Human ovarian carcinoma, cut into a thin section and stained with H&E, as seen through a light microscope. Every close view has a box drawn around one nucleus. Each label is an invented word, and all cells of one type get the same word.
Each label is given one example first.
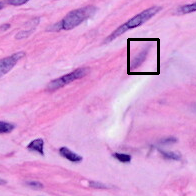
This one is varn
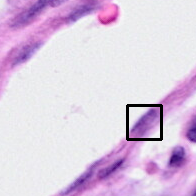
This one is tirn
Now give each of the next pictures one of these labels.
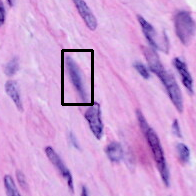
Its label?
varn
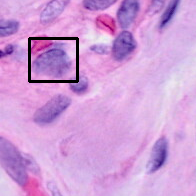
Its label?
tirn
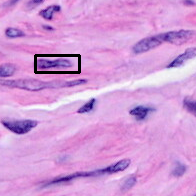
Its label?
varn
